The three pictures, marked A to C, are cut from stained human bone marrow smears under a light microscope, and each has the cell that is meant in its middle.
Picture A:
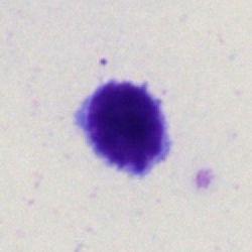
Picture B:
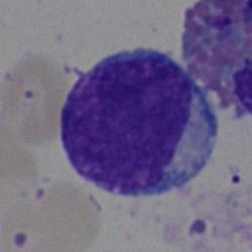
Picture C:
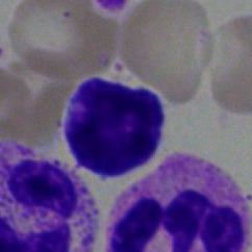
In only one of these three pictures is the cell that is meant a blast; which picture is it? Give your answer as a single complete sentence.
The picture with the blast is B.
